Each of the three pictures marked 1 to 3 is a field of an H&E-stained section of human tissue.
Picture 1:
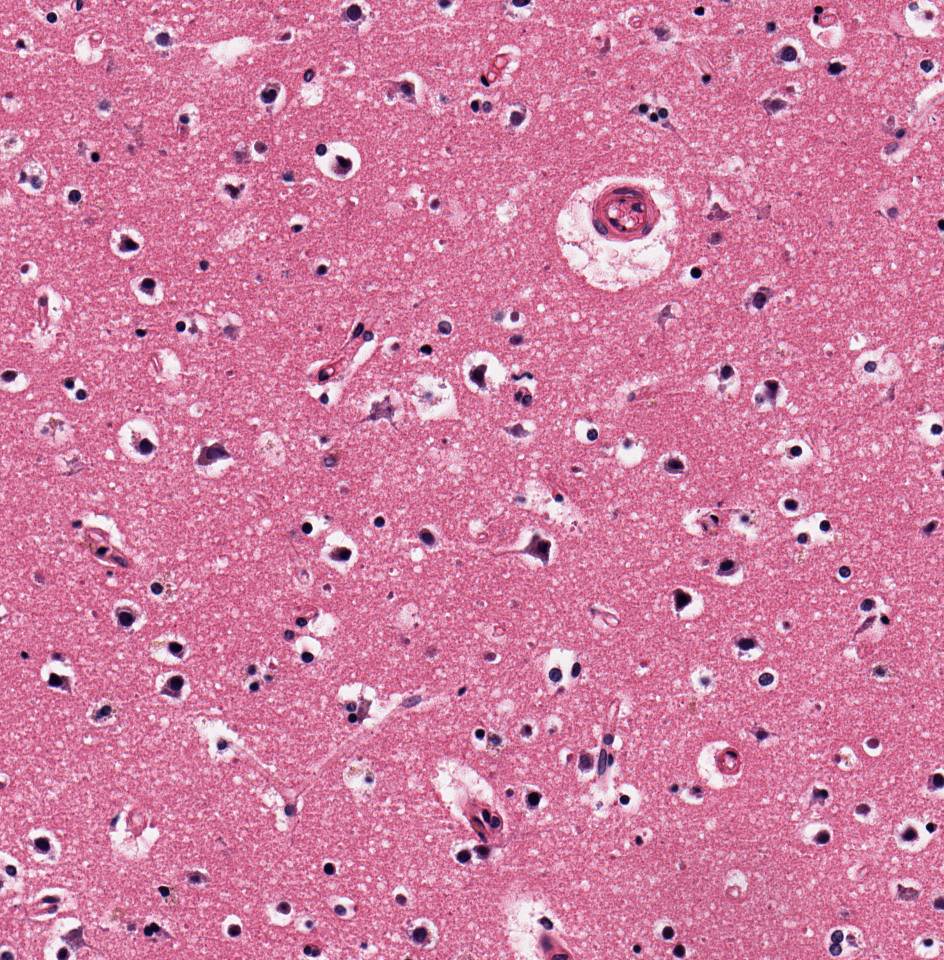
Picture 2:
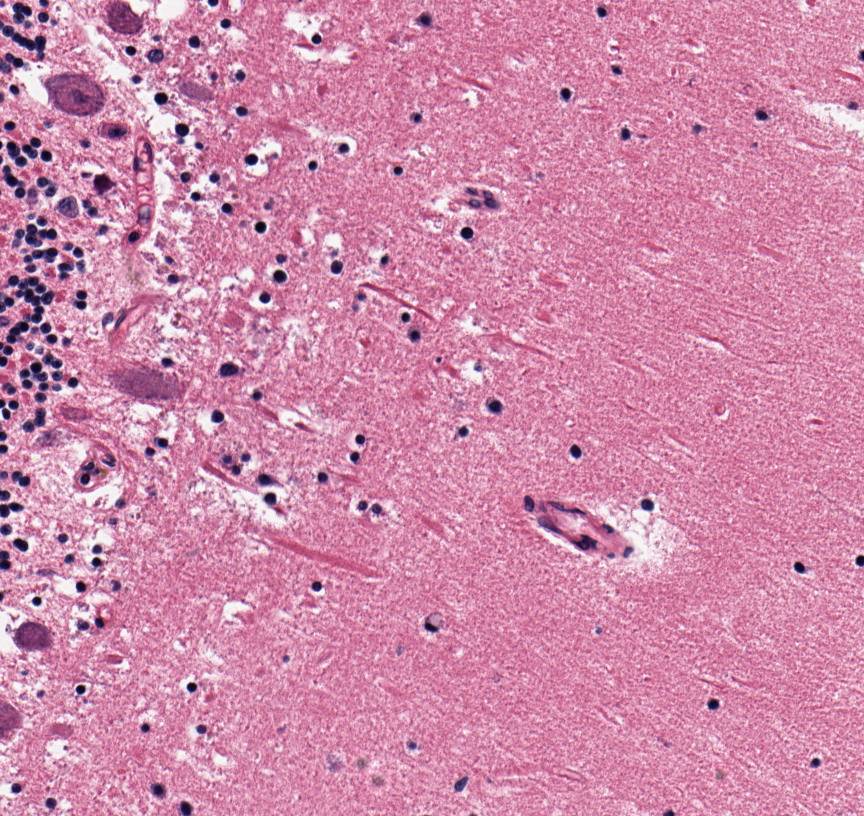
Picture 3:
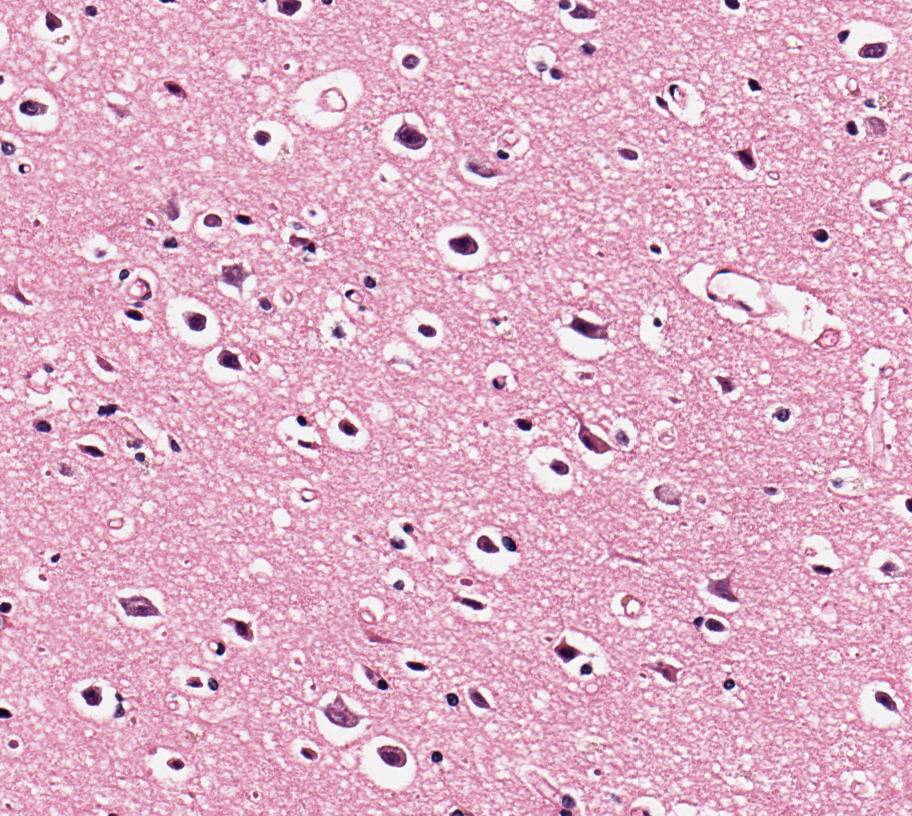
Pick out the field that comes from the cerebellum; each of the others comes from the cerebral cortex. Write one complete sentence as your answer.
It is picture 2 that comes from the cerebellum.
